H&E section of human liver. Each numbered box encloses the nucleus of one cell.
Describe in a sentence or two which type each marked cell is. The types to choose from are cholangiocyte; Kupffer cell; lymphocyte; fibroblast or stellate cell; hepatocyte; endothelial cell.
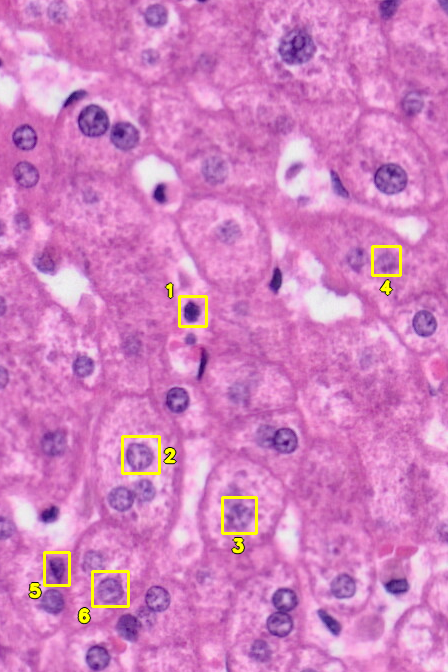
Cell 1 is a lymphocyte, cell 2 is a hepatocyte, cell 3 is a hepatocyte, cell 4 is a hepatocyte, cell 5 is a fibroblast or stellate cell and cell 6 is a hepatocyte.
